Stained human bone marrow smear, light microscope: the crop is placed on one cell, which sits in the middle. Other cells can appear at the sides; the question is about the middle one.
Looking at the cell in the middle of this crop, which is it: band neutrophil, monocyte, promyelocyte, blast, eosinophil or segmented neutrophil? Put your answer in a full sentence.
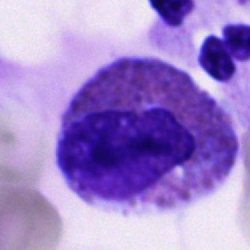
The cell centered in this field of view is an eosinophil.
